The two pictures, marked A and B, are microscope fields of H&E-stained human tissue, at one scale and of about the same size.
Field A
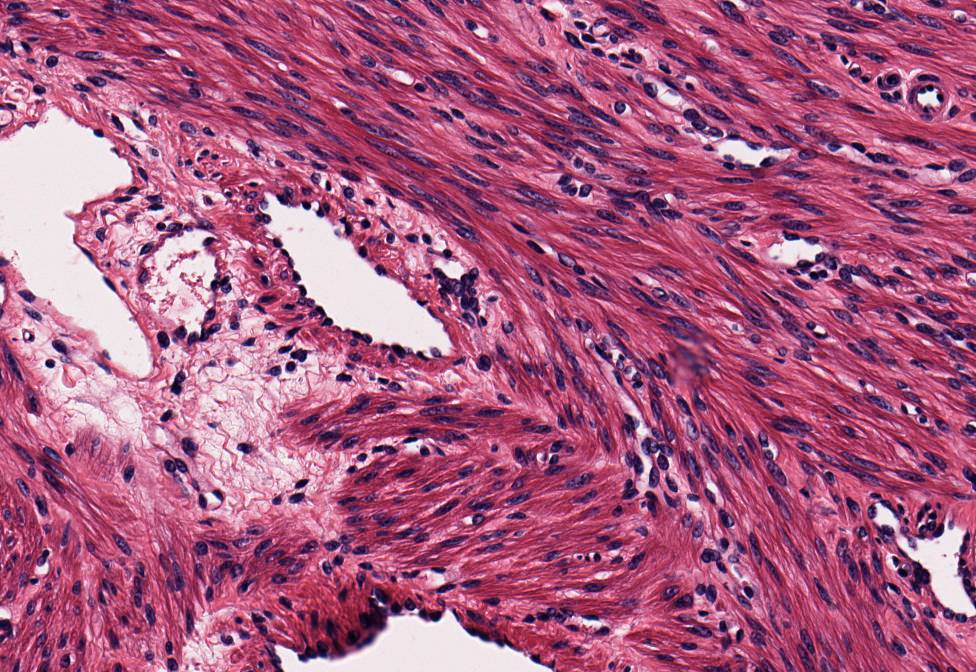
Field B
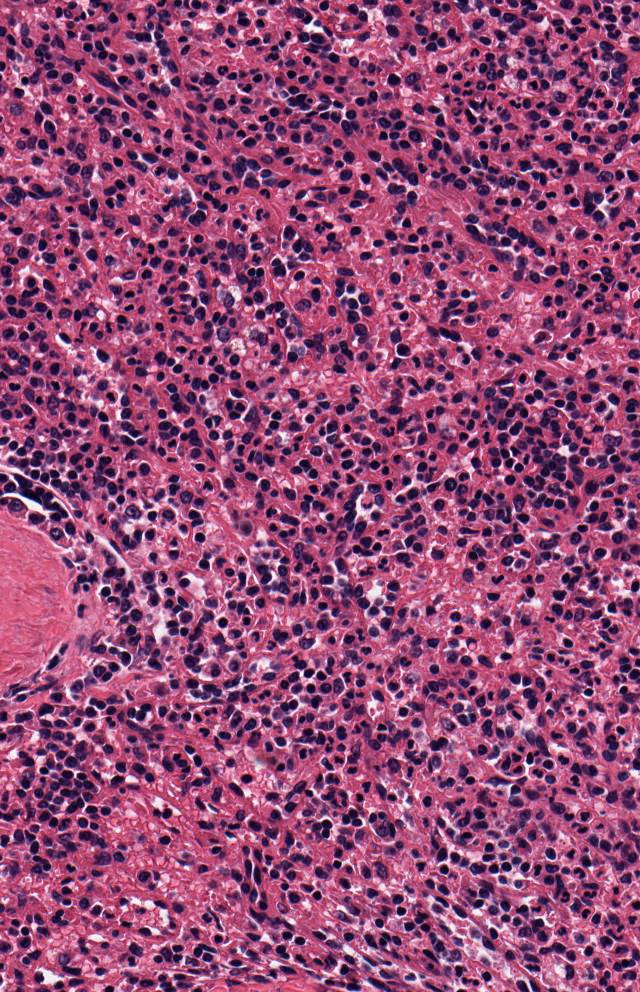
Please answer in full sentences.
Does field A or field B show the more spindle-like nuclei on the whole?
It is field A whose nuclei are the more elongated.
